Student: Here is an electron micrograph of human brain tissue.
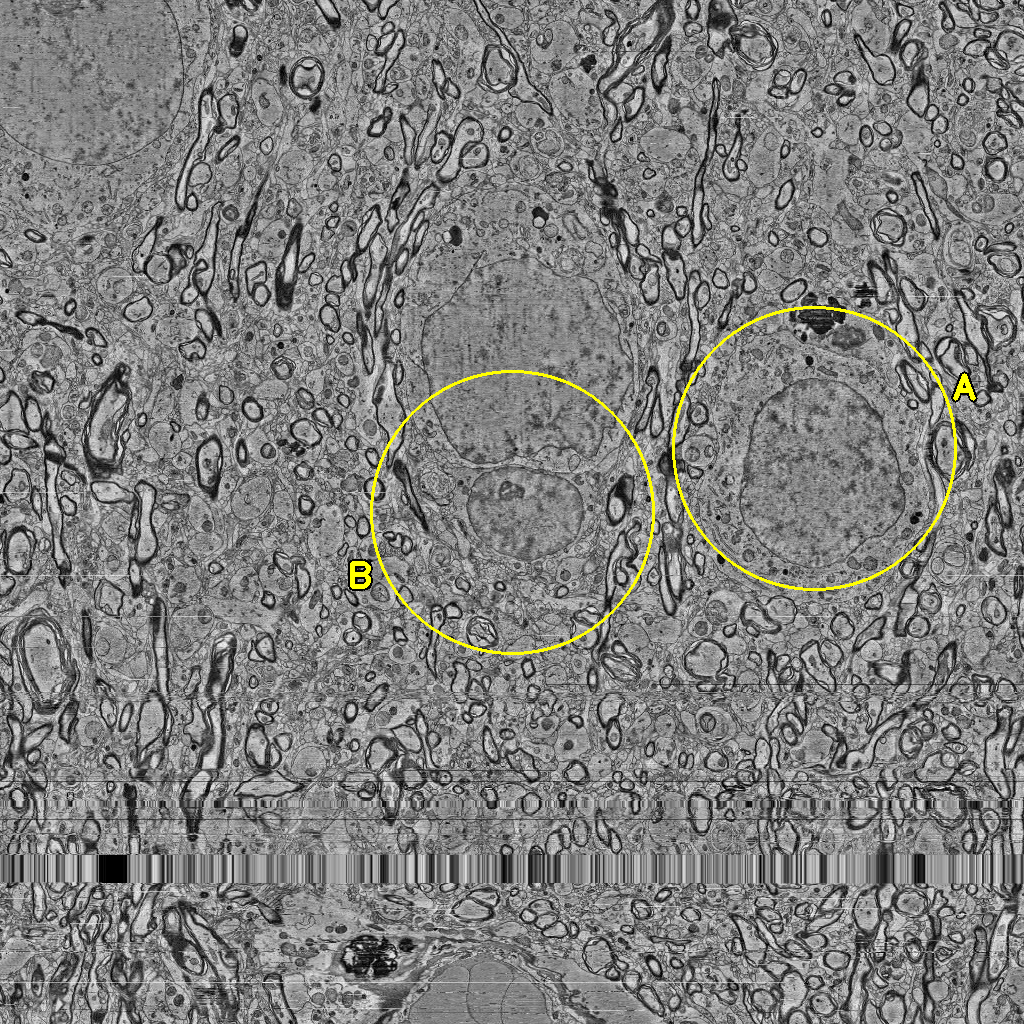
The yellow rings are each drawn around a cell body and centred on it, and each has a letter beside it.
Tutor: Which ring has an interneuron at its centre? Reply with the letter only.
A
